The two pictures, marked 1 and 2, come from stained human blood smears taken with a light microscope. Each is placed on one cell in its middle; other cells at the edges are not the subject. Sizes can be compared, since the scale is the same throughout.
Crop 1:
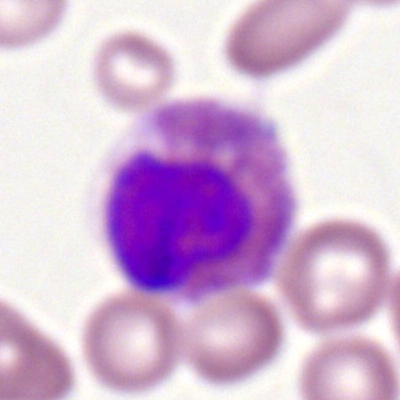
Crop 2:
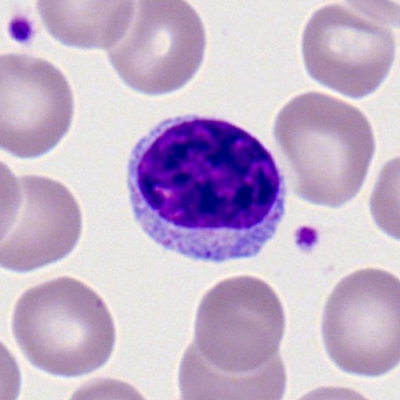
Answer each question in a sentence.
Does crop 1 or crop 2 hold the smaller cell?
The cell in crop 2 is smaller; the one in crop 1 has about 1.5 times its area.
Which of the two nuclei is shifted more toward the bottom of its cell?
Seen within its cell, the nucleus in crop 1 lies further toward the bottom.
